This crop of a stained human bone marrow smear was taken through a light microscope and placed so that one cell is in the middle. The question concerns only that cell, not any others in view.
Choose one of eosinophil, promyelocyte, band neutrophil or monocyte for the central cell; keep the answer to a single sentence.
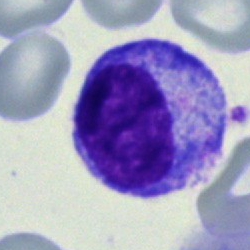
As for the cell in the middle, it is a promyelocyte.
